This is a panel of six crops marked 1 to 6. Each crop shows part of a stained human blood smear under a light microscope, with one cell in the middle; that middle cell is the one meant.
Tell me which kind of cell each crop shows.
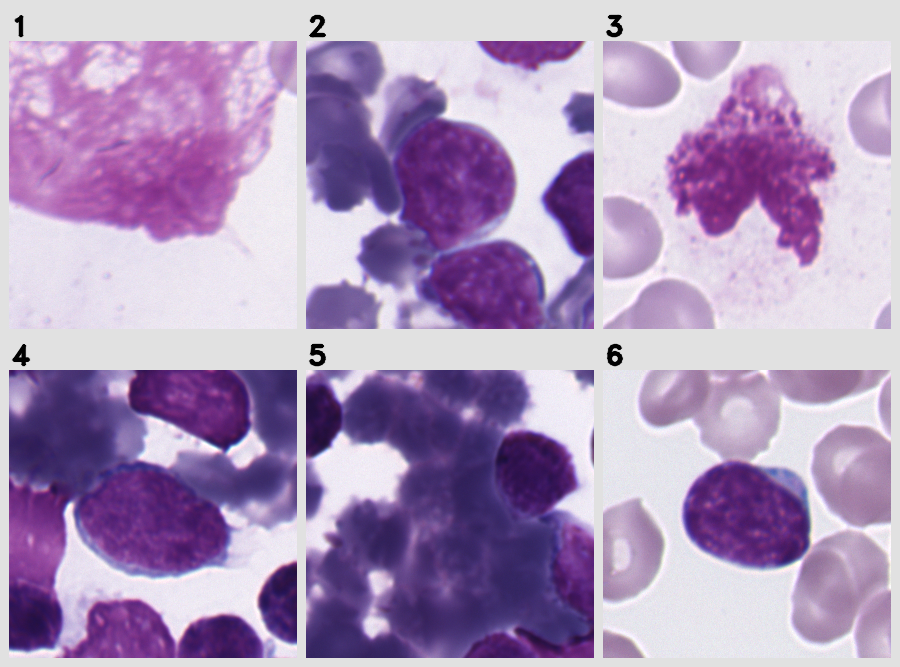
1: smudge cell
2: myeloblast
3: smudge cell
4: myeloblast
5: myeloblast
6: myeloblast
